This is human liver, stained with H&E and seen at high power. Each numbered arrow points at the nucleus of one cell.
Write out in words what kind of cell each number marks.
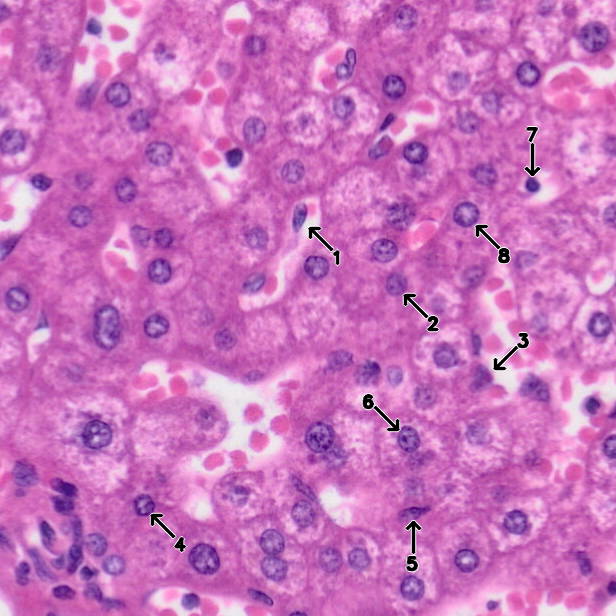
Cells 1 and 7 are lymphocytes. Cells 2, 4, 6 and 8 are hepatocytes. Cell 3 is an endothelial cell. Cell 5 is a fibroblast or stellate cell.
